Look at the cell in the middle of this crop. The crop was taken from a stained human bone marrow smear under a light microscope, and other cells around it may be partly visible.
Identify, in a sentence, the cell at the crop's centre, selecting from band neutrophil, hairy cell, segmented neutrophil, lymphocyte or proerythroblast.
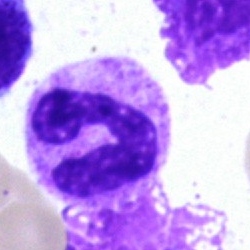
In short, the cell at the center is a band neutrophil.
